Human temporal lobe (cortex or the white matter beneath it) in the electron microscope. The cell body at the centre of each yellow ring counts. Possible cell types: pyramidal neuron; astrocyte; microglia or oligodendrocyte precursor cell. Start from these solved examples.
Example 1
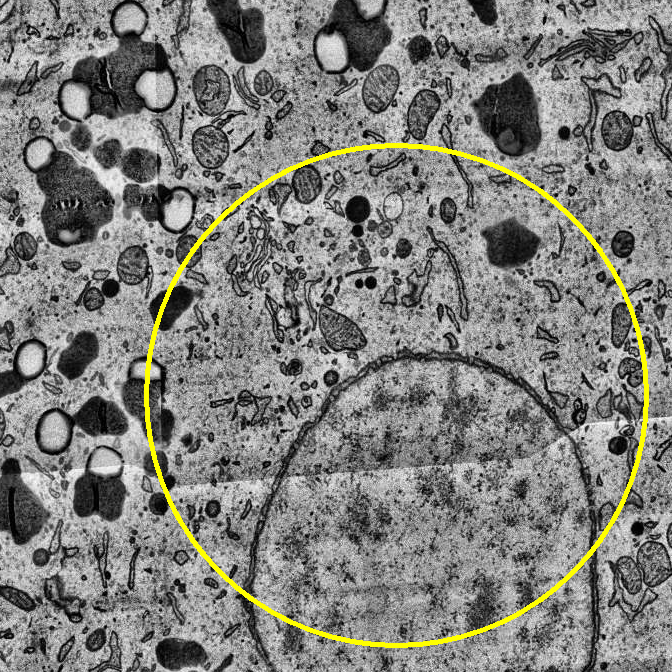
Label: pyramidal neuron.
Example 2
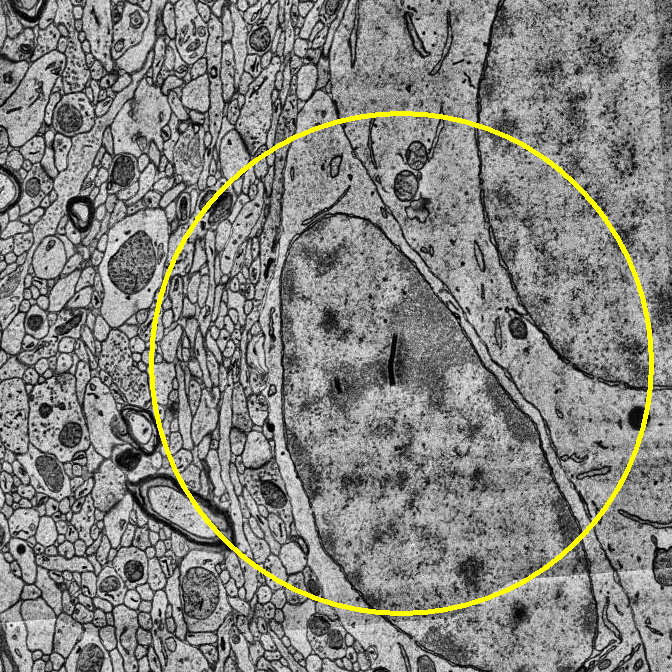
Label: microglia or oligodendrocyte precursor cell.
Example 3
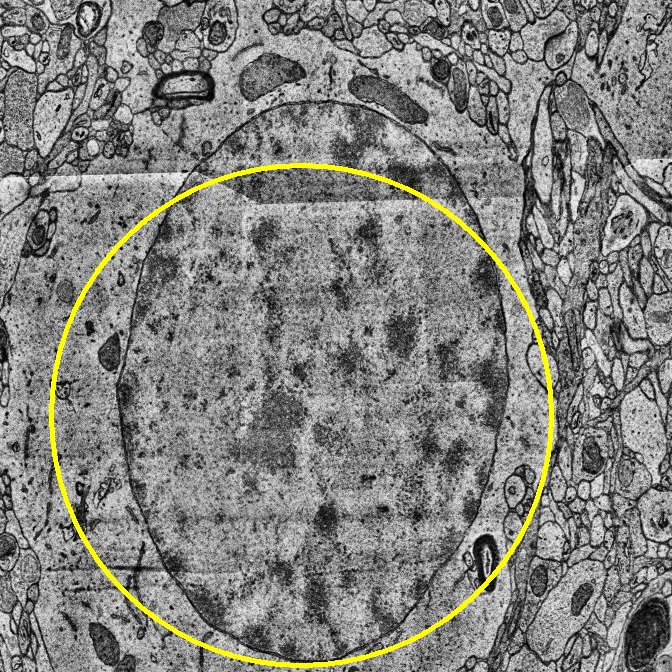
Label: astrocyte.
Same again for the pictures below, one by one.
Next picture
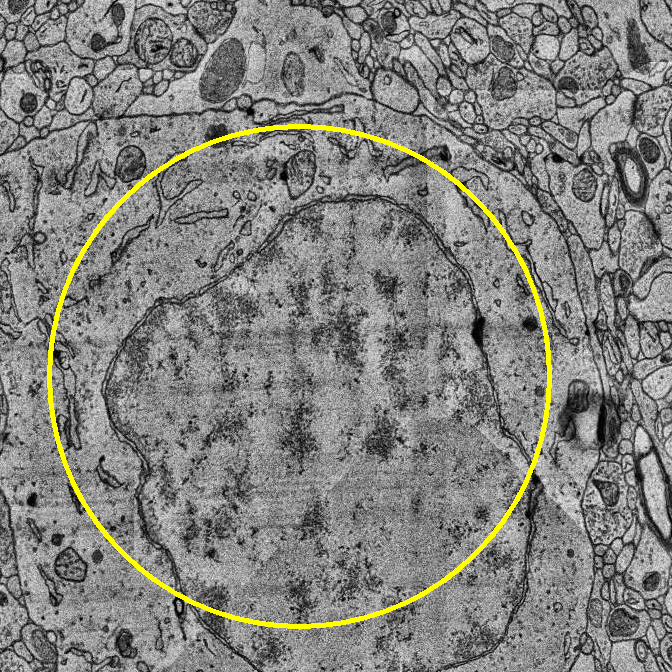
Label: pyramidal neuron.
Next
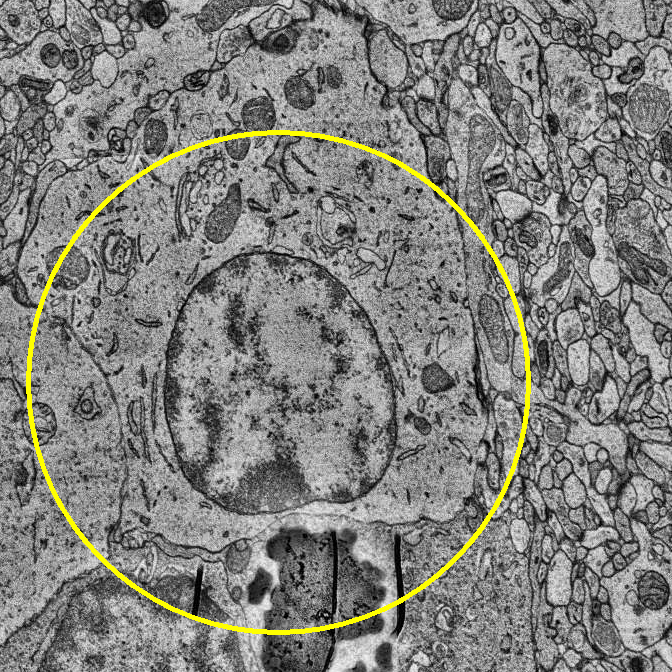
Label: microglia or oligodendrocyte precursor cell.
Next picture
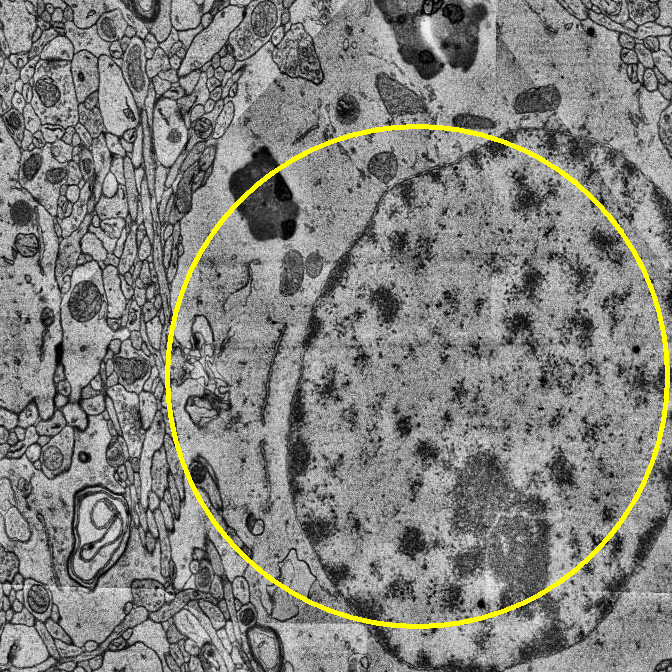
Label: astrocyte.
